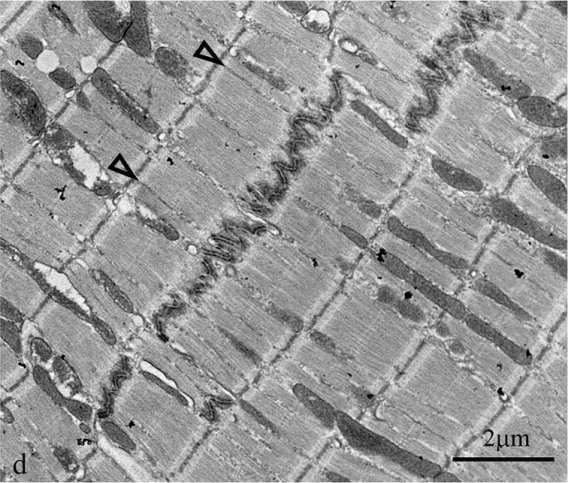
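Heart muscle cells in longitudinal section show neatly aligned sarcomeres with regular cross-striations, and elongated dark mitochondria lying in rows between the myofibrils. The cells otherwise keep a good, orderly arrangement of their contractile apparatus.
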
